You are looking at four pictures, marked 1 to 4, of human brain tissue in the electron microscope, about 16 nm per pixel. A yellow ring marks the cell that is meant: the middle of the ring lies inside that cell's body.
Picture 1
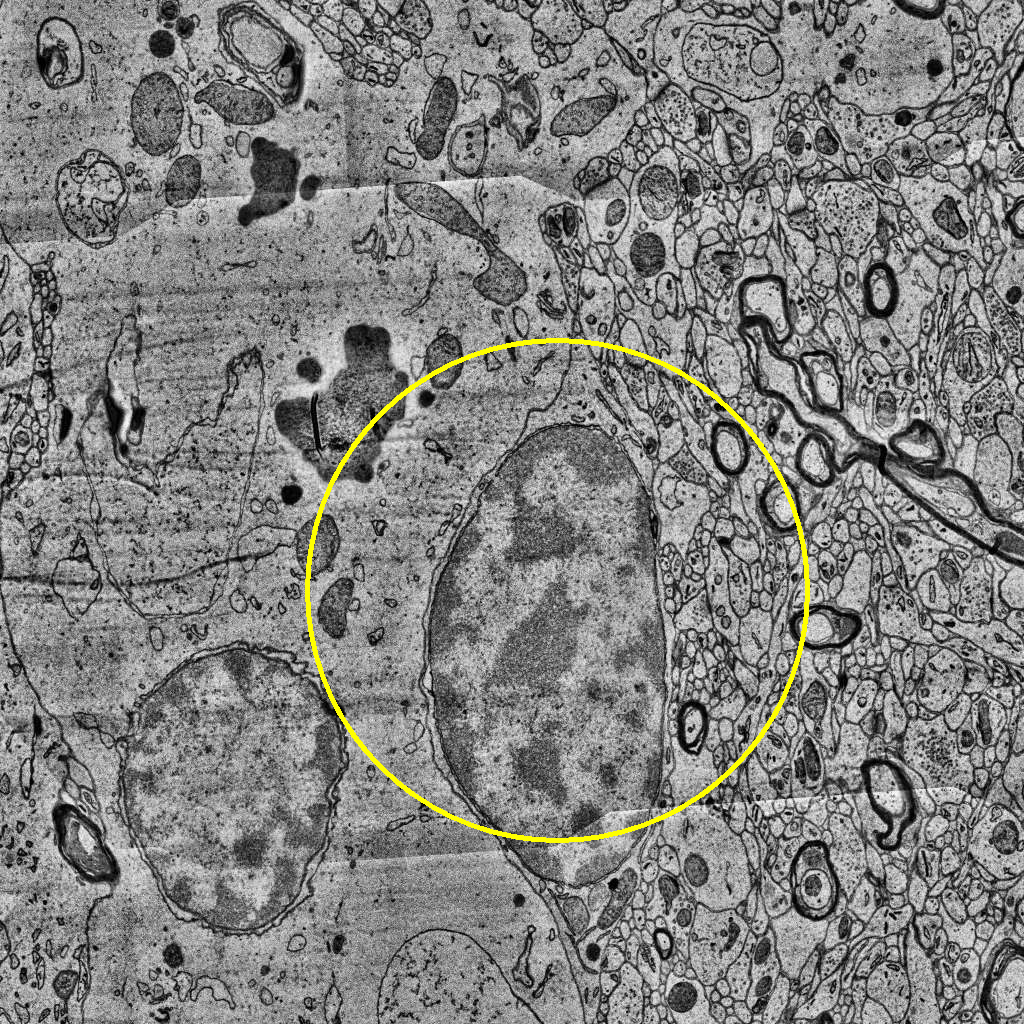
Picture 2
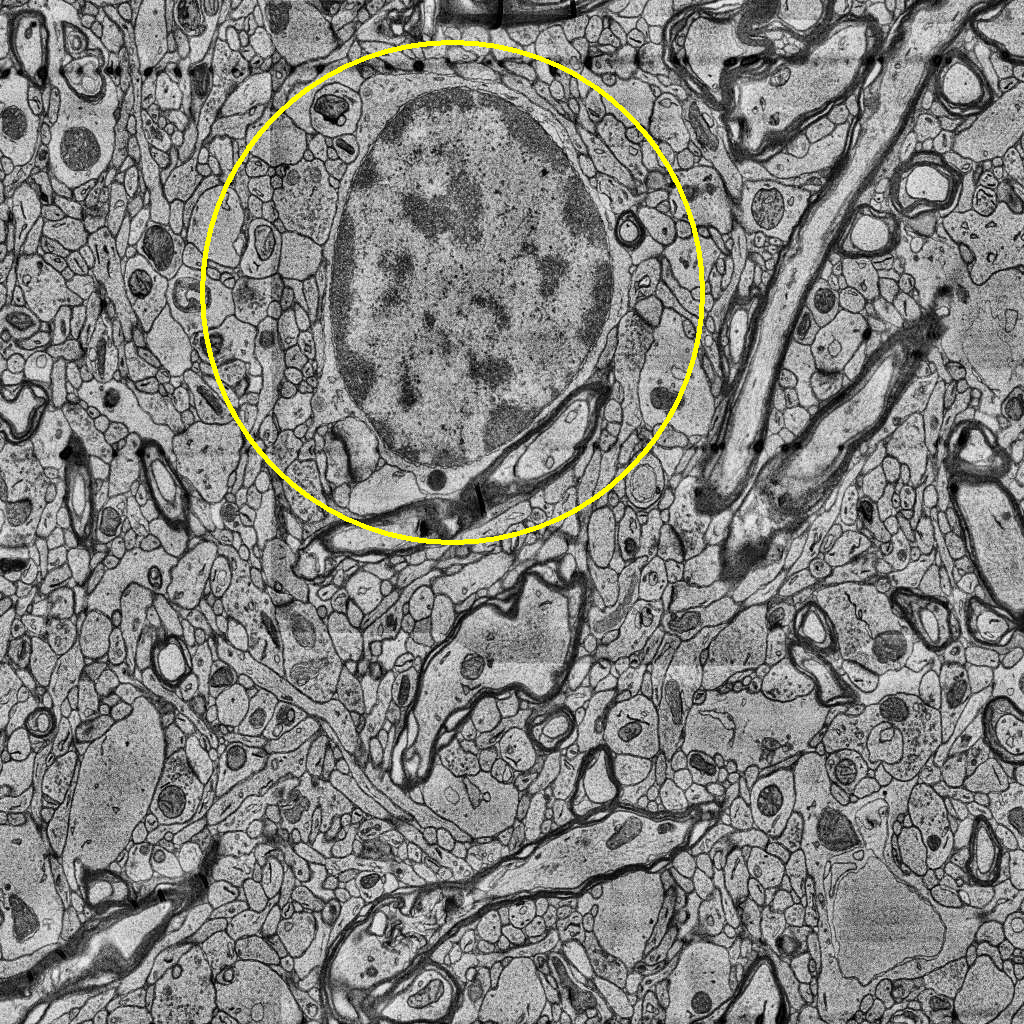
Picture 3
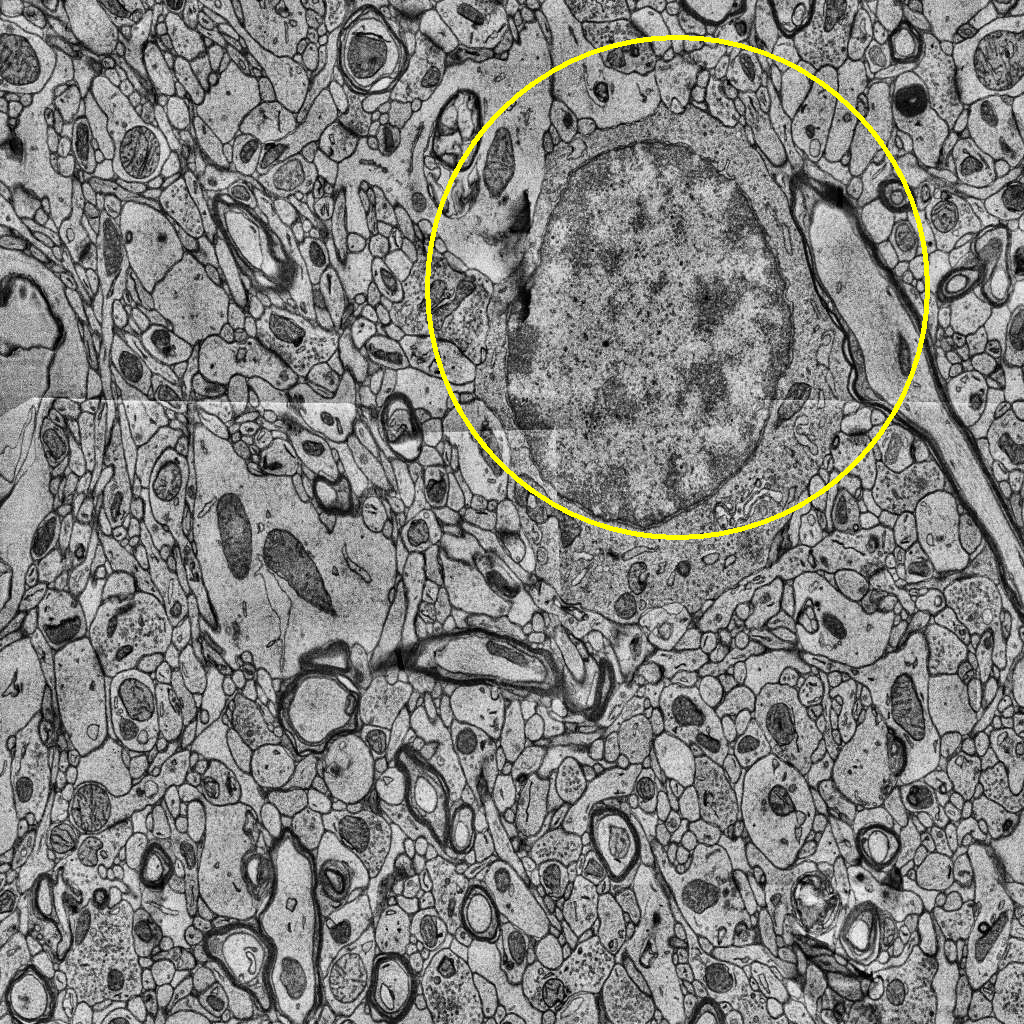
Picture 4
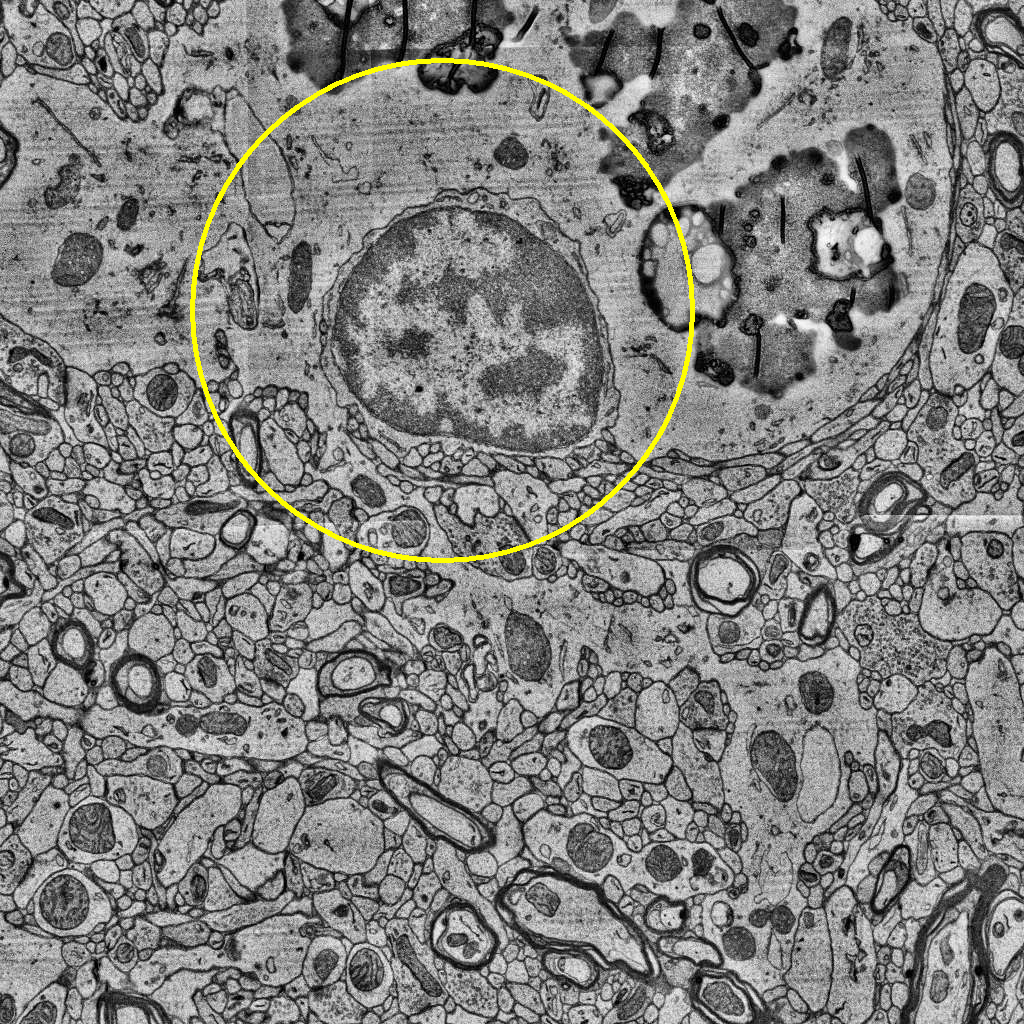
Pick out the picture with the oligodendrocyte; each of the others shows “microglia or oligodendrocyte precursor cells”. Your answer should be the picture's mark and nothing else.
3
